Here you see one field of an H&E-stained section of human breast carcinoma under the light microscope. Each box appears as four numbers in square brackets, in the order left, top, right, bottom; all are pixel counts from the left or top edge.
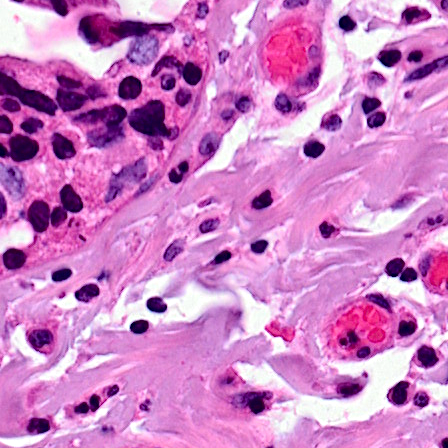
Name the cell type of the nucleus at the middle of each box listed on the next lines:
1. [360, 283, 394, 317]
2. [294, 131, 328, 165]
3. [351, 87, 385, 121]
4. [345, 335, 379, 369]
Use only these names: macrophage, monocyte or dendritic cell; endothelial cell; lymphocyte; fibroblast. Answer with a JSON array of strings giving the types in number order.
["endothelial cell", "lymphocyte", "lymphocyte", "endothelial cell"]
